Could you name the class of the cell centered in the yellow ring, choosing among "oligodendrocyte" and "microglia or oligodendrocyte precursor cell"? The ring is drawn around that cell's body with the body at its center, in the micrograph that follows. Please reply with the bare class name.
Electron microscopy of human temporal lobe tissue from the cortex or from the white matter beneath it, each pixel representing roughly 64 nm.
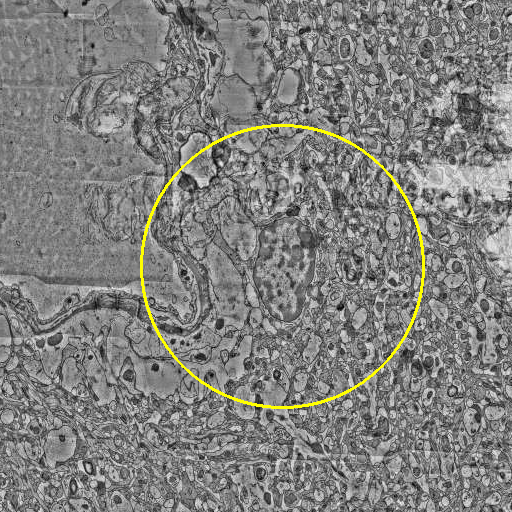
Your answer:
microglia or oligodendrocyte precursor cell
